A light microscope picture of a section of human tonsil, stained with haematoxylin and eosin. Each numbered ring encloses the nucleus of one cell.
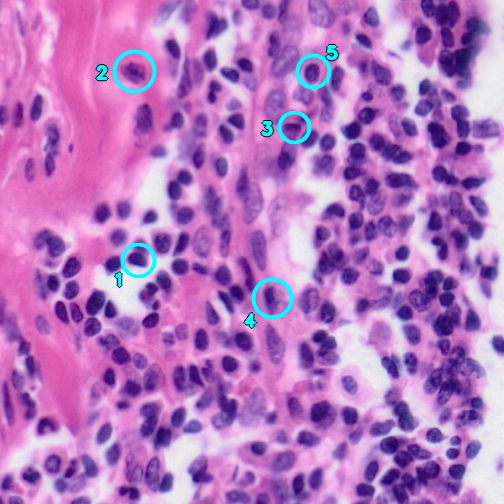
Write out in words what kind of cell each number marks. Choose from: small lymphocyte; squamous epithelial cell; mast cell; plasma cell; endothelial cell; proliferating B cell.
Cell 1 is a small lymphocyte, cell 2 is a mast cell, cell 3 is an endothelial cell, cell 4 is an endothelial cell and cell 5 is an endothelial cell.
